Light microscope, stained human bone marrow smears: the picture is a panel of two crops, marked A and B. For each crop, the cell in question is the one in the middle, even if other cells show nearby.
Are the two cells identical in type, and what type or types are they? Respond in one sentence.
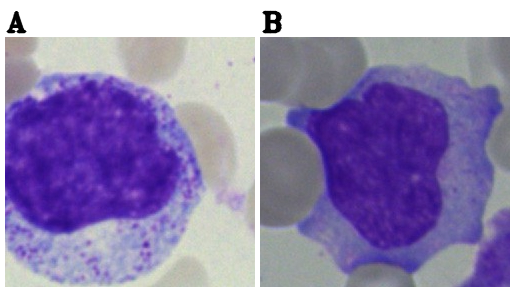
No, it is crop A that shows a myelocyte, and crop B shows a monocyte.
